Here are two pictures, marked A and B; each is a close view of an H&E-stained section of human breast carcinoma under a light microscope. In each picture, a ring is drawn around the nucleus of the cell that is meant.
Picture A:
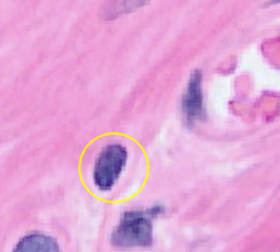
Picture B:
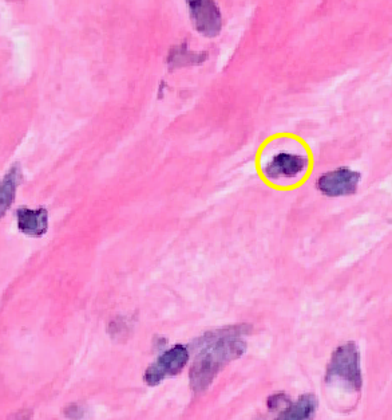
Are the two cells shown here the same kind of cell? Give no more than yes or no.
yes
